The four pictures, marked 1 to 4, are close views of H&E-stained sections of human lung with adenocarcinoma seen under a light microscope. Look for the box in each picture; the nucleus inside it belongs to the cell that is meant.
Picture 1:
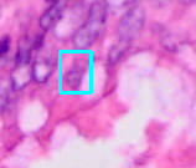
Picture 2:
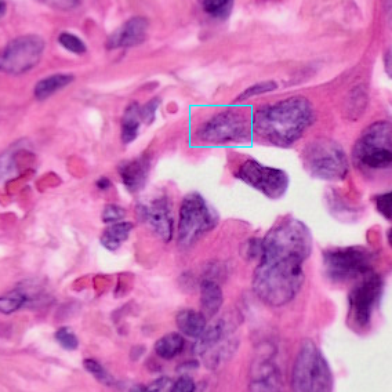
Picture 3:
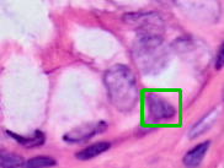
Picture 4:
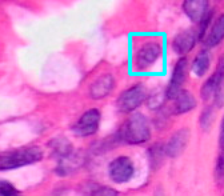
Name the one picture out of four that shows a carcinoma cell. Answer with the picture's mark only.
2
